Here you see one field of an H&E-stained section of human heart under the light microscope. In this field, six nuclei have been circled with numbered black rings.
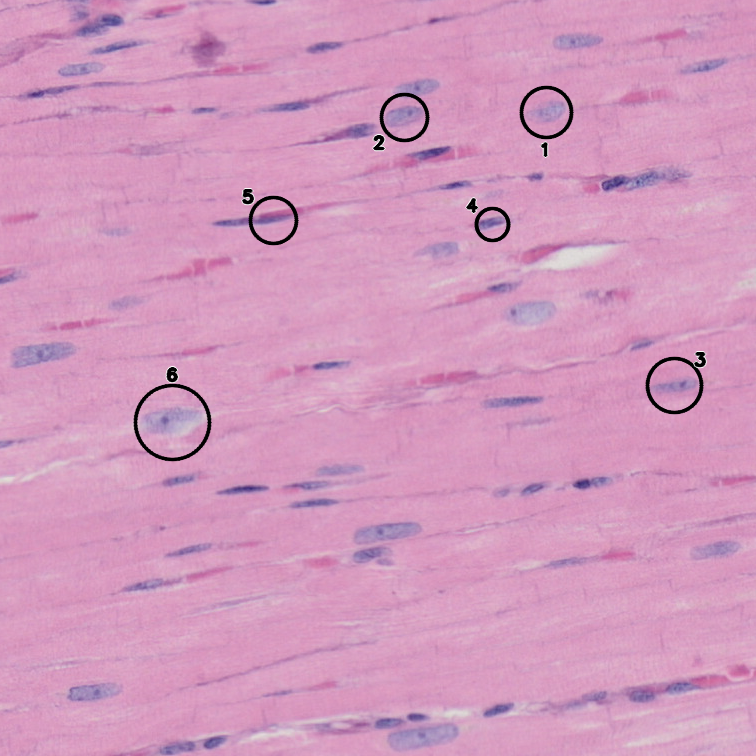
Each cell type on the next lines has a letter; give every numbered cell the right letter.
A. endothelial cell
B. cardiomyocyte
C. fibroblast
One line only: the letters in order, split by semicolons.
B; B; B; A; A; B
